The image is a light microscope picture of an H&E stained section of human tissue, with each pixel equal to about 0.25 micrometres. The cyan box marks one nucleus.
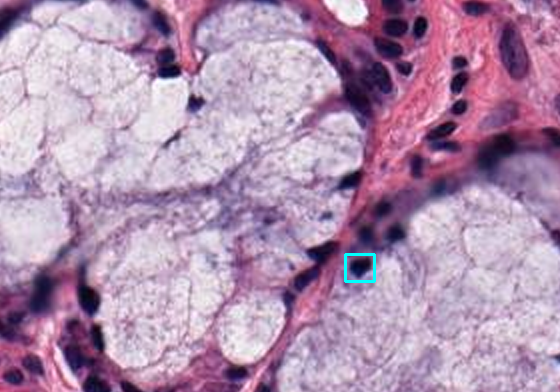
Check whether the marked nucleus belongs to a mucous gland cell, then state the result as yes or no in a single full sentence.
Yes, the marked nucleus is one belonging to a mucous gland cell.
